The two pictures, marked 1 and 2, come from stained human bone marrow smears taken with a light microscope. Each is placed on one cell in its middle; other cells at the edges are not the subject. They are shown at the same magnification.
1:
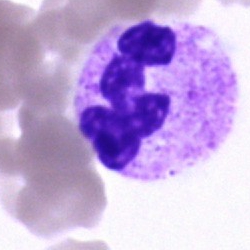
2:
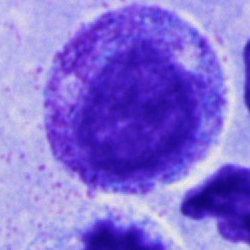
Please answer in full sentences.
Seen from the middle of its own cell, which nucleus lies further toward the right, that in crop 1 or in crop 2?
The nucleus in crop 2 lies further toward the right of its cell.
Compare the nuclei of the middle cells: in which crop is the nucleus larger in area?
Larger is the nucleus in crop 2, at roughly 2 times the area of the other.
